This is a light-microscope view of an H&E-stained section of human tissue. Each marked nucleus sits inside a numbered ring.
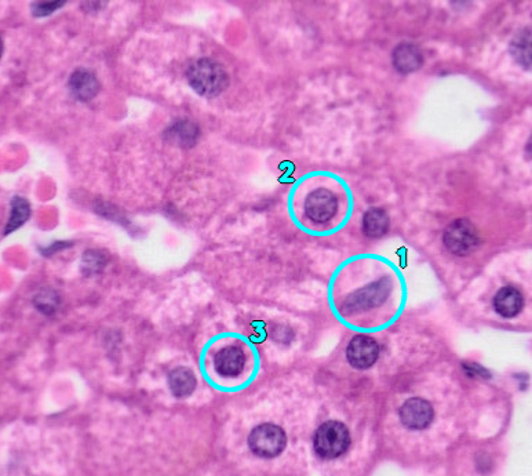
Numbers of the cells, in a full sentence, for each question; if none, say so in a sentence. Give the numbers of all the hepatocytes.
The cells labelled 2 and 3 in this section are hepatocytes.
